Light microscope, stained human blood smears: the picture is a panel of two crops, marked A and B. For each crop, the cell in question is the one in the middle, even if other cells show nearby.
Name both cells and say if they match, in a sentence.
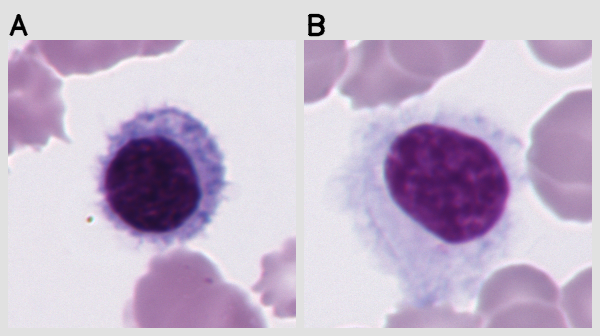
Yes, the central cells, in both crops, are hairy cells.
